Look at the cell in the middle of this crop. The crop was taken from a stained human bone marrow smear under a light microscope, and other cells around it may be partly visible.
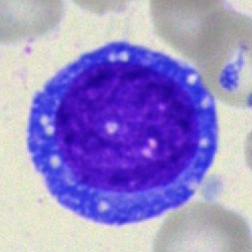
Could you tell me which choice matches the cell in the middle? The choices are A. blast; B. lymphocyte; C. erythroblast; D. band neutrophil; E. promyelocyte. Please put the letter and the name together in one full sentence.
The central cell of the crop is a blast, which makes A the correct option.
